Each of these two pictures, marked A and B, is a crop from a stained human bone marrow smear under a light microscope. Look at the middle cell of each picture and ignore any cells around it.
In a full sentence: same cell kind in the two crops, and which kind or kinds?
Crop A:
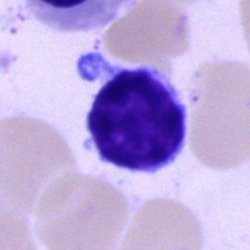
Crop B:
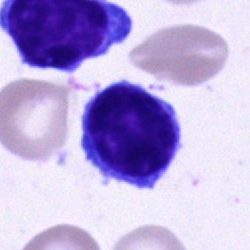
Yes, lymphocytes lie at the centre of both crops.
